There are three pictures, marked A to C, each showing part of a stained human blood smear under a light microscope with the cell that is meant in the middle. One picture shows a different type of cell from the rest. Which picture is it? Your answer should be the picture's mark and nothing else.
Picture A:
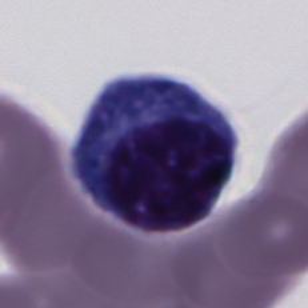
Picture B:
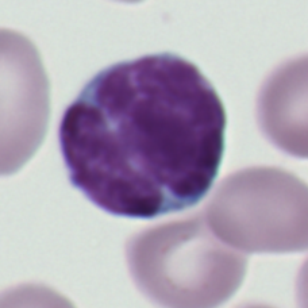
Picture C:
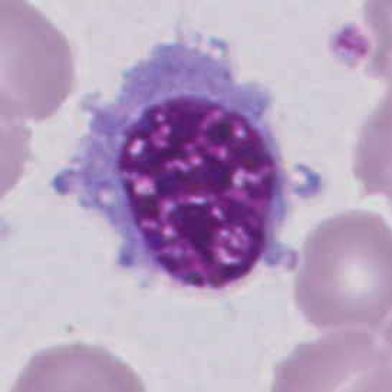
B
